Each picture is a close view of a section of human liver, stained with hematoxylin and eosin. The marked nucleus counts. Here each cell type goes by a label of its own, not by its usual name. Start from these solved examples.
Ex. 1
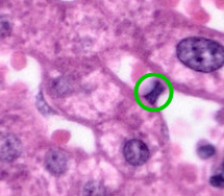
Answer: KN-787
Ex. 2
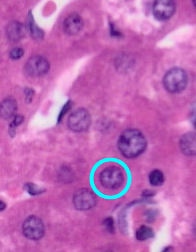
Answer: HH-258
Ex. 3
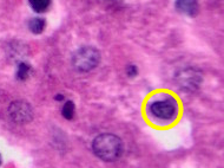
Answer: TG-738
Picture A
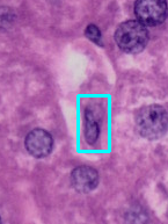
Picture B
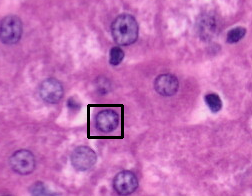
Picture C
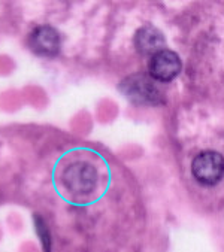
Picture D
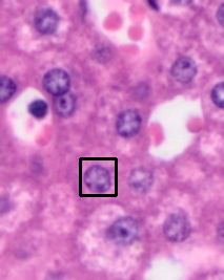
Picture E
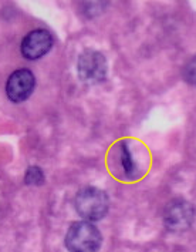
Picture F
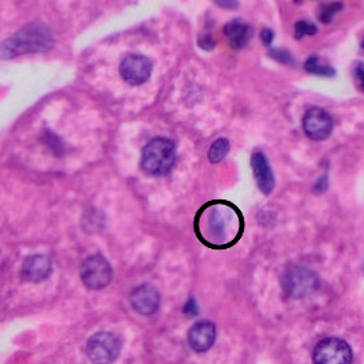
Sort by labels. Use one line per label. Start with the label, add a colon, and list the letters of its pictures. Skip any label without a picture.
KN-787: E, F
HH-258: B, C, D
TG-738: A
